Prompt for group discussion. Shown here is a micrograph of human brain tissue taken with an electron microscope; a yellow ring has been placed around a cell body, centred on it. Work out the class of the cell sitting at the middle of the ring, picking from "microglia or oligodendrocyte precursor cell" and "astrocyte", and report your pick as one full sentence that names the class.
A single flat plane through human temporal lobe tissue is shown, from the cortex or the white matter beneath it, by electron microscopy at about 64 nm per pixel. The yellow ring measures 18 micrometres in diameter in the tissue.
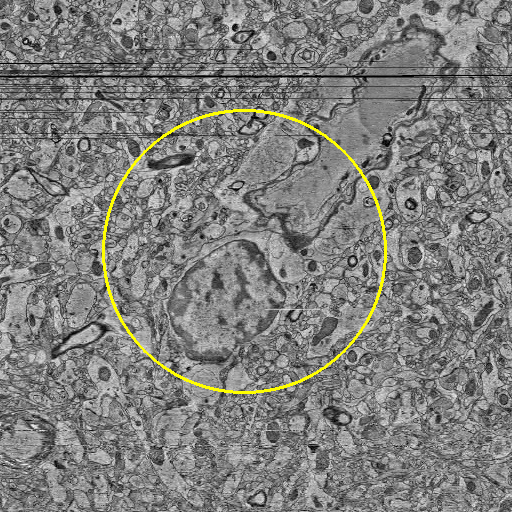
The cell sitting at the middle of the yellow ring is a microglial cell or oligodendrocyte precursor cell.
